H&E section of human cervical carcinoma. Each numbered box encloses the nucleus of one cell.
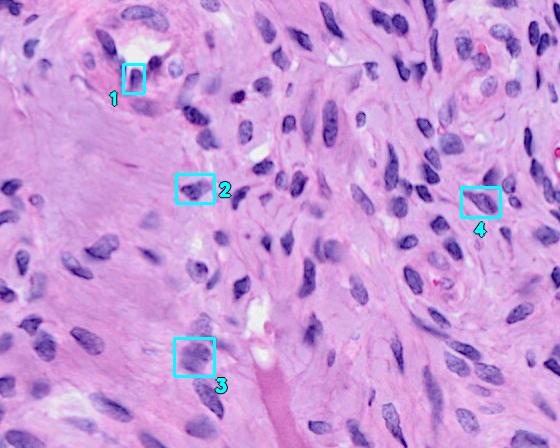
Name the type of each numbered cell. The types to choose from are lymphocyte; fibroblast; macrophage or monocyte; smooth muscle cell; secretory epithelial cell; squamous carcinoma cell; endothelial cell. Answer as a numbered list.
1. endothelial cell
2. fibroblast
3. fibroblast
4. fibroblast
